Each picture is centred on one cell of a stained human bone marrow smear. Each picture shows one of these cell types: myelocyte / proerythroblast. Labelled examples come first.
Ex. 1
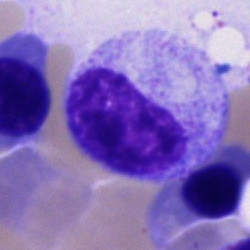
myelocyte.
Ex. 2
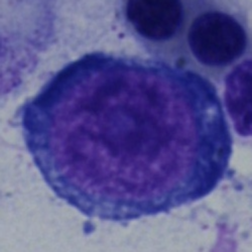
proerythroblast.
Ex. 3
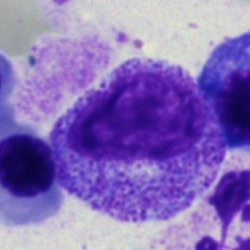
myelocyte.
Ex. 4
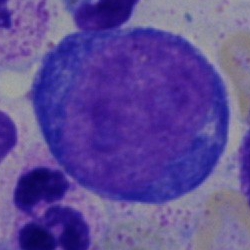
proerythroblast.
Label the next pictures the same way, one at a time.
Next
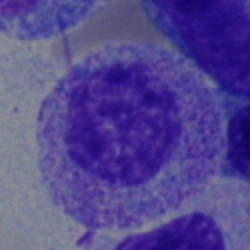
myelocyte.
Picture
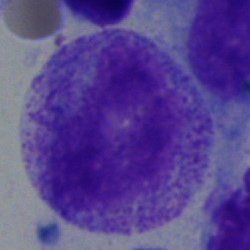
myelocyte.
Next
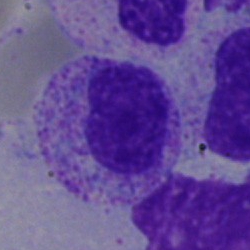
myelocyte.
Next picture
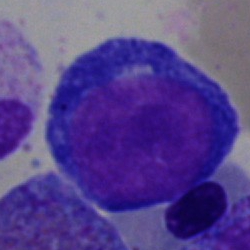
proerythroblast.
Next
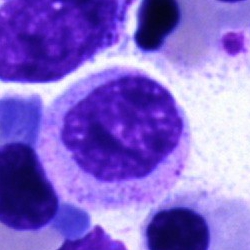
myelocyte.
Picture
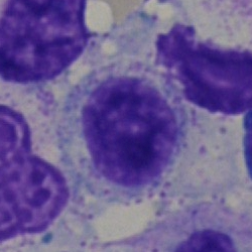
myelocyte.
